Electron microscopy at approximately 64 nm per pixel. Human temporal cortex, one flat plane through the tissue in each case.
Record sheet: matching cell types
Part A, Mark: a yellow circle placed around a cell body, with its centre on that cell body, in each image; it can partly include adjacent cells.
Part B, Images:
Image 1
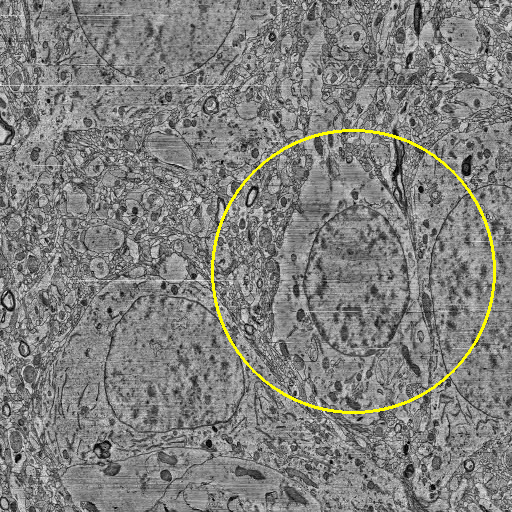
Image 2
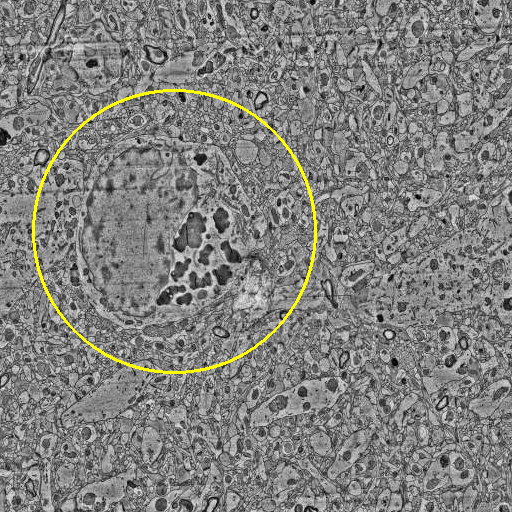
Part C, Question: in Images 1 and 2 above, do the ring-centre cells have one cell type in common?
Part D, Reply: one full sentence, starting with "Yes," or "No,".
No, the ring-centre cells of Image 1 and Image 2 are each of a separate cell type.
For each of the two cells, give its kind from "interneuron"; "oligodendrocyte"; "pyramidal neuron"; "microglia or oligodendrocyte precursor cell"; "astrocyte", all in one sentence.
The first picture has an astrocyte in its ring, the second has an interneuron.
